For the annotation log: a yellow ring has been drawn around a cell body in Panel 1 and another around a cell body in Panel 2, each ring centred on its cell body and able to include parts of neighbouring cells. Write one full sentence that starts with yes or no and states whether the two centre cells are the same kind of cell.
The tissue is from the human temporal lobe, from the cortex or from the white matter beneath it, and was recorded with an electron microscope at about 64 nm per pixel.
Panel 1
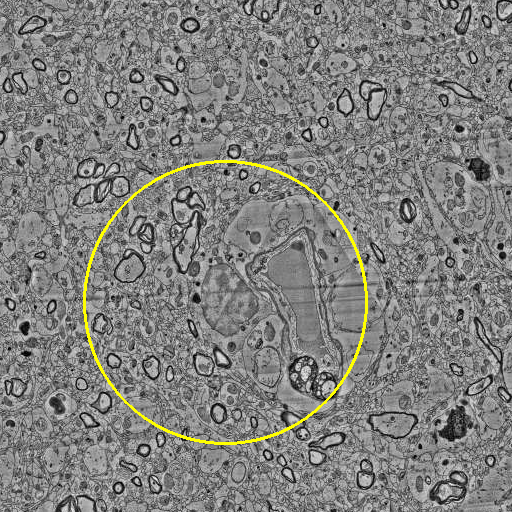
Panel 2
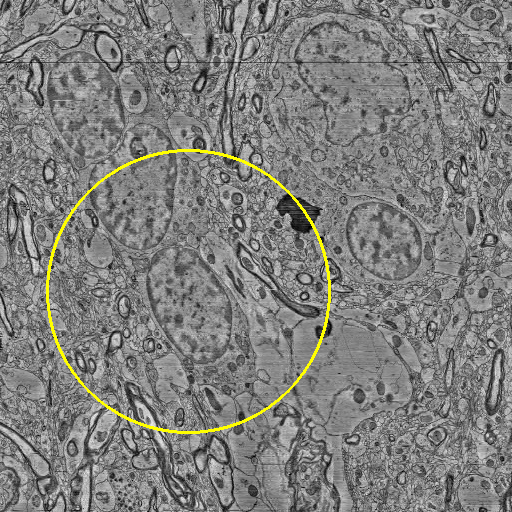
Yes, the two centre cells are the same kind of cell.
